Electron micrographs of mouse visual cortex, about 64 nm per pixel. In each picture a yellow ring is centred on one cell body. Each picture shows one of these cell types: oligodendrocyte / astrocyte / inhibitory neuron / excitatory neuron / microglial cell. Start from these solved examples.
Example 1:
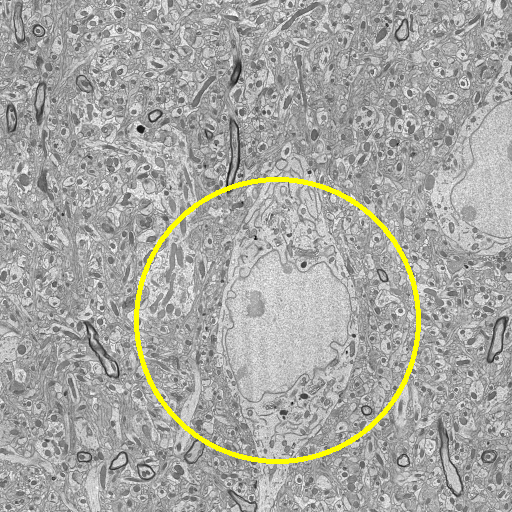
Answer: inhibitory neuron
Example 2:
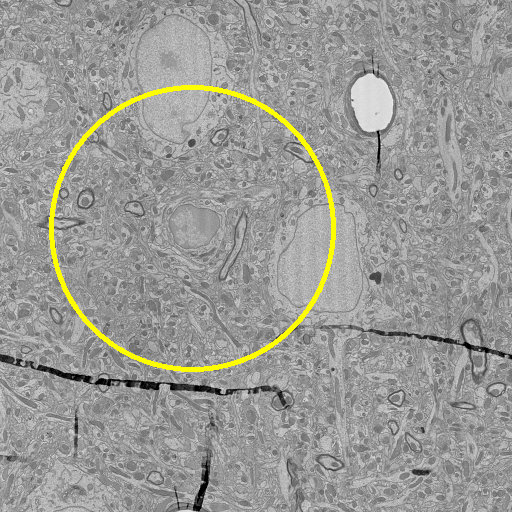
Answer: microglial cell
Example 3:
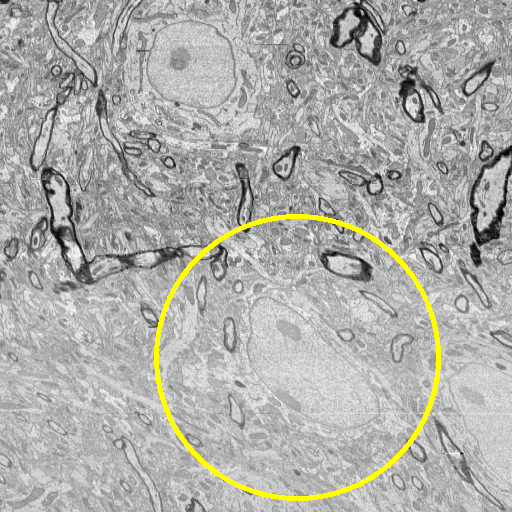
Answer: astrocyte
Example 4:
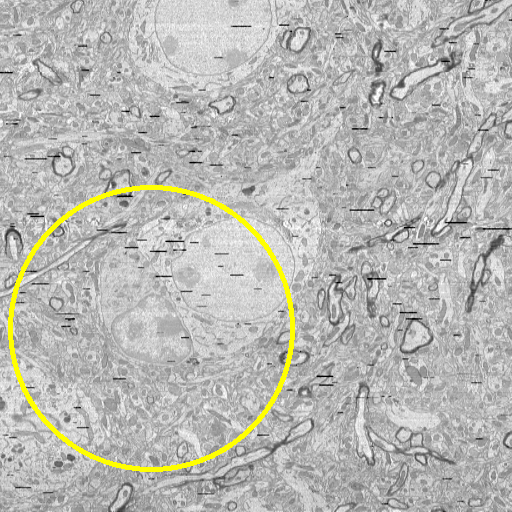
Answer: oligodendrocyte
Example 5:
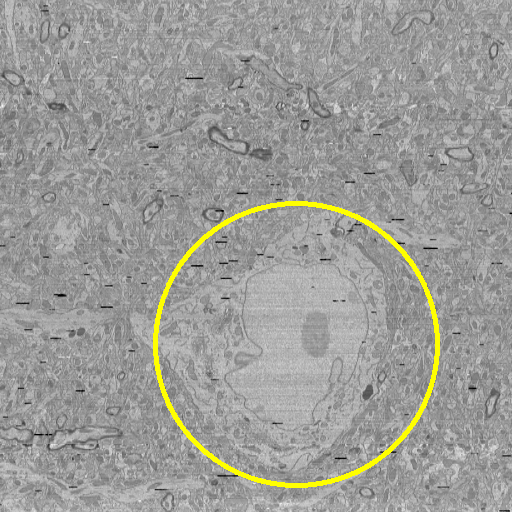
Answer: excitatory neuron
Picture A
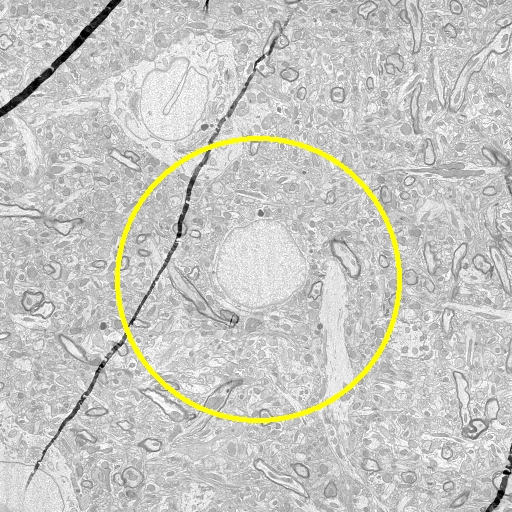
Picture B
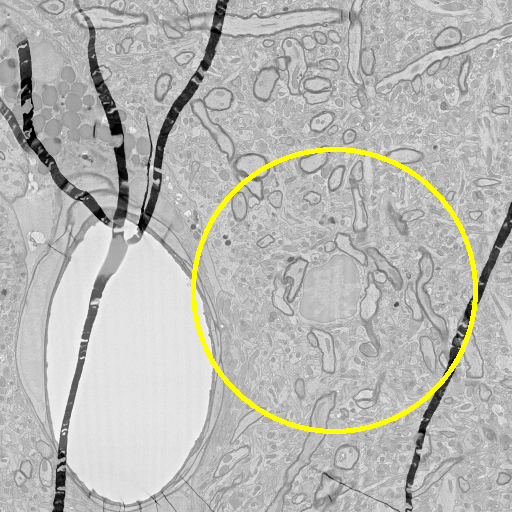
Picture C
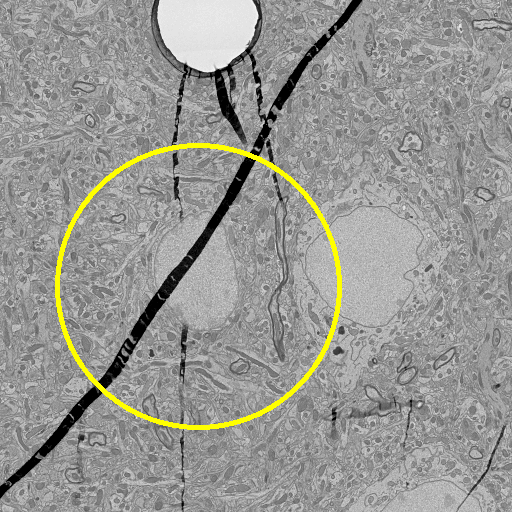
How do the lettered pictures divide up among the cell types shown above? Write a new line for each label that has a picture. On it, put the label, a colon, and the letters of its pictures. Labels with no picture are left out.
astrocyte: A, C
microglial cell: B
